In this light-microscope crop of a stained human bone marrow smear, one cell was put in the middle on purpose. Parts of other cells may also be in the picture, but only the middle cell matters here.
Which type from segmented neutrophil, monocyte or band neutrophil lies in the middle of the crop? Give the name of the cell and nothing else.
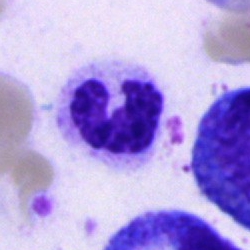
segmented neutrophil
